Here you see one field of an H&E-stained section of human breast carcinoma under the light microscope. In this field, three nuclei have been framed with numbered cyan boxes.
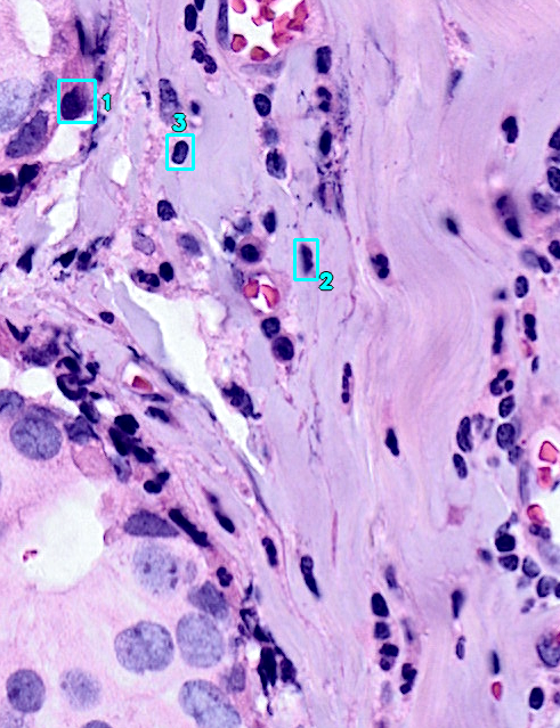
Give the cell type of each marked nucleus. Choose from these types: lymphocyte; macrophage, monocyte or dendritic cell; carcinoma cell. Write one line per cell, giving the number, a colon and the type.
1: carcinoma cell
2: lymphocyte
3: lymphocyte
